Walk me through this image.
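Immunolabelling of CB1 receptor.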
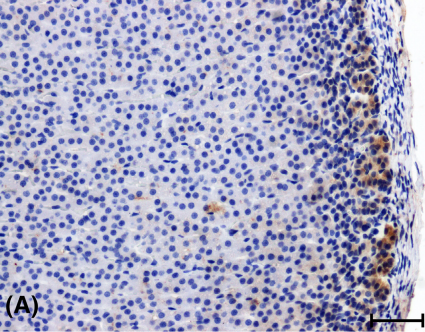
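Adrenal cortex with a thin fibrous capsule along the right edge and closely packed epithelial cells beneath it. The outermost band of cells just under the capsule carries a brown cytoplasmic stain, while deeper cells are largely unstained.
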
